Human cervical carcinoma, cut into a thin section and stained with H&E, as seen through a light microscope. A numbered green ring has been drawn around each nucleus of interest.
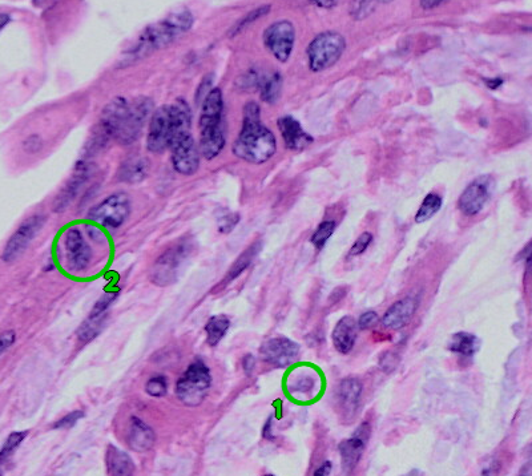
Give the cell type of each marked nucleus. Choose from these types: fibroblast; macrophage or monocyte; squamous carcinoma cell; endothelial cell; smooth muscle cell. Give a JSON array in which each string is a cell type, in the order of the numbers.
["fibroblast", "squamous carcinoma cell"]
